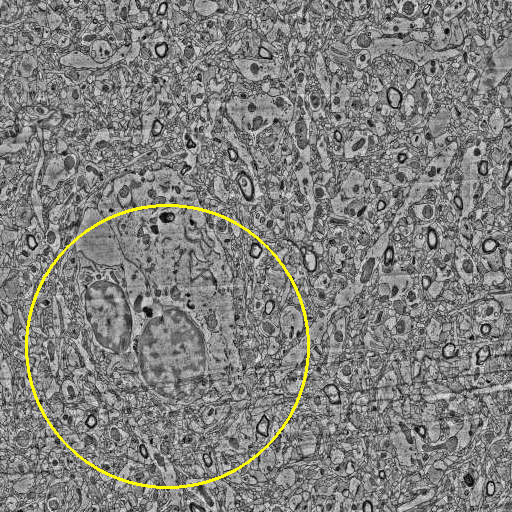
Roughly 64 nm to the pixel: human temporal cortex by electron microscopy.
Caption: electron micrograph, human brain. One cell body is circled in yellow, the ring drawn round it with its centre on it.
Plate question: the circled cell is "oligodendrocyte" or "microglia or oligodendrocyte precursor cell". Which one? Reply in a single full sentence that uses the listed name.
The yellow ring on the plate is centred on an oligodendrocyte, going by the listed names.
